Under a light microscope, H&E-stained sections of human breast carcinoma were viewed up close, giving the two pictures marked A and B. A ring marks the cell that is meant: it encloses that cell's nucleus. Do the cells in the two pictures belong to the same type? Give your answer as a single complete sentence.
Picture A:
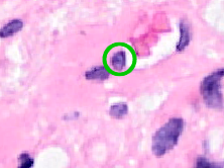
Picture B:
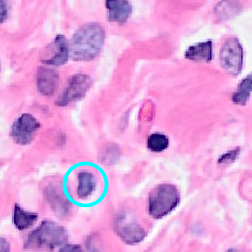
No. Picture A shows an endothelial cell, but picture B shows a lymphocyte.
